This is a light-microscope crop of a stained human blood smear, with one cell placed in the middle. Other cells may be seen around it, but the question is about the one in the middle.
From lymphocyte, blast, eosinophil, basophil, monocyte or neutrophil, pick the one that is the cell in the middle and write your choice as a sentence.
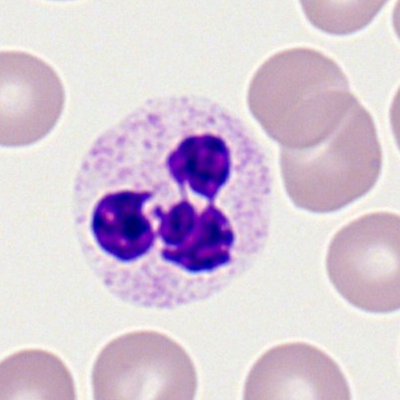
Among the cells in view, the one in the middle is a neutrophil.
